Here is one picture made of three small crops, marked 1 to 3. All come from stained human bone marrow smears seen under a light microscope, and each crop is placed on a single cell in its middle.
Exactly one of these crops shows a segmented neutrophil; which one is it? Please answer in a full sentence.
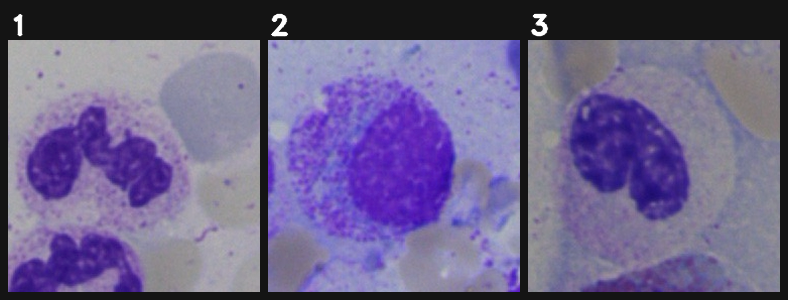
Crop 1 matches the request, showing a segmented neutrophil.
